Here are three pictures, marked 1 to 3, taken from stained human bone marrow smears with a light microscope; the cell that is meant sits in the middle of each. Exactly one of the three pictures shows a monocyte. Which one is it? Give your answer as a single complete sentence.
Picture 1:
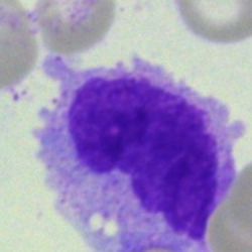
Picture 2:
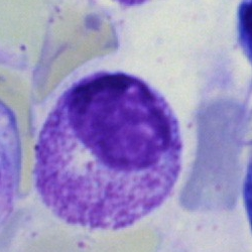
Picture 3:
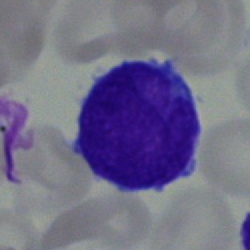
Picture 1 shows the monocyte.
